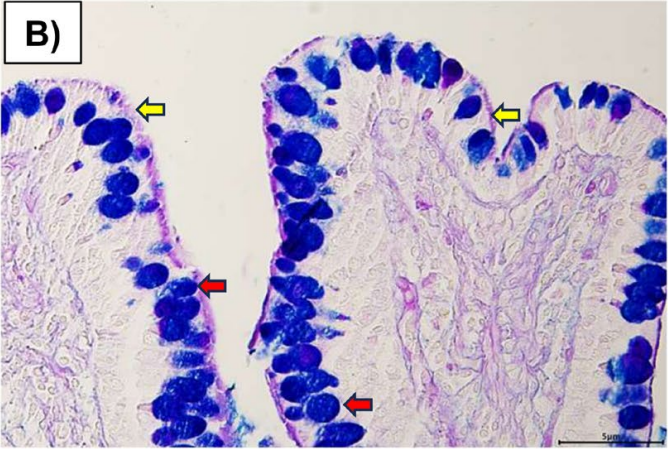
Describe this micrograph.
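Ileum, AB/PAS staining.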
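Ileal villi are lined by columnar epithelium crowded with rounded goblet cells. Nearly all of these goblet cells are filled with deep blue mucus. Only a thin, faint magenta mucous layer lines the luminal surface over a loose connective tissue core.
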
